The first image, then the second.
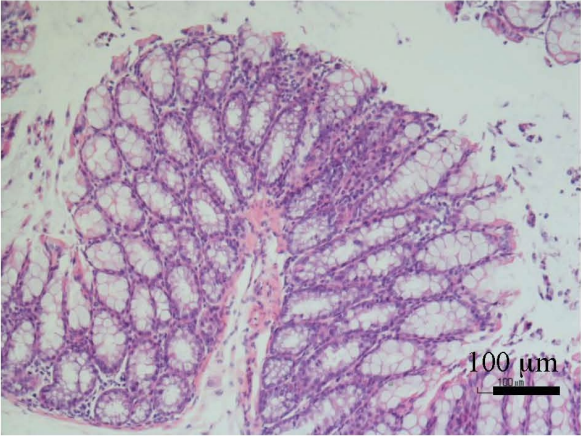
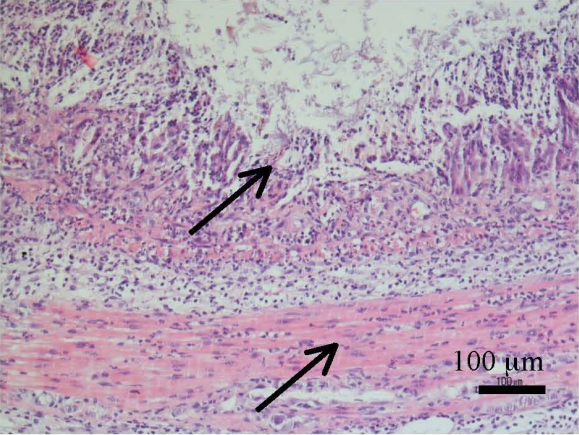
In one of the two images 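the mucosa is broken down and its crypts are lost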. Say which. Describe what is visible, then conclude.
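Second image: the surface layer is ragged, with no regular crypts and crowded dark nuclei. First image: round crypts lined by regular epithelium fill the mucosa in an orderly array.
Hence: the second image.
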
